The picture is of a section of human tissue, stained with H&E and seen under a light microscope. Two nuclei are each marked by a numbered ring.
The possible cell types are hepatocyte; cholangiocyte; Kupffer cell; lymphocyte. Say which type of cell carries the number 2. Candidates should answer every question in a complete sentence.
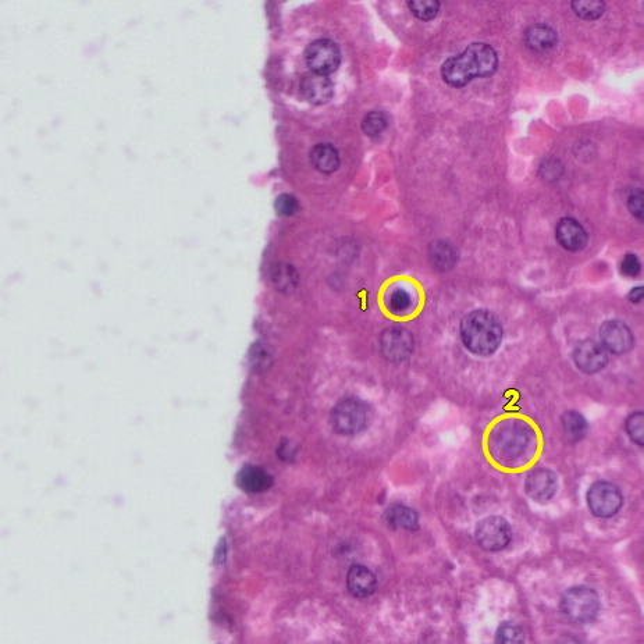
Classified as a hepatocyte is the cell with the number 2.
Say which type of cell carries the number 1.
Among the marked nuclei, number 1 belongs to a lymphocyte.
